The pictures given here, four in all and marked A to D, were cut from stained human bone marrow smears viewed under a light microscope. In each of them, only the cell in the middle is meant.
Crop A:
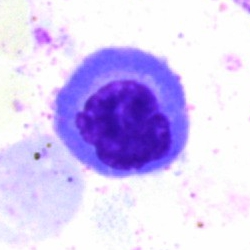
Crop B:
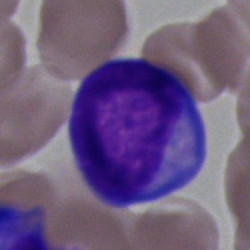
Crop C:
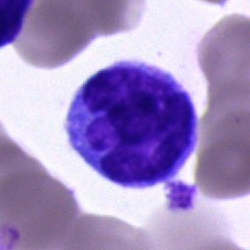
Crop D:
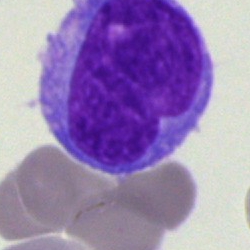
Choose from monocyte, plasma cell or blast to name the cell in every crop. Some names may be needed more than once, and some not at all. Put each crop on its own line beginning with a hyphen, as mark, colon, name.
- A: plasma cell
- B: blast
- C: monocyte
- D: blast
